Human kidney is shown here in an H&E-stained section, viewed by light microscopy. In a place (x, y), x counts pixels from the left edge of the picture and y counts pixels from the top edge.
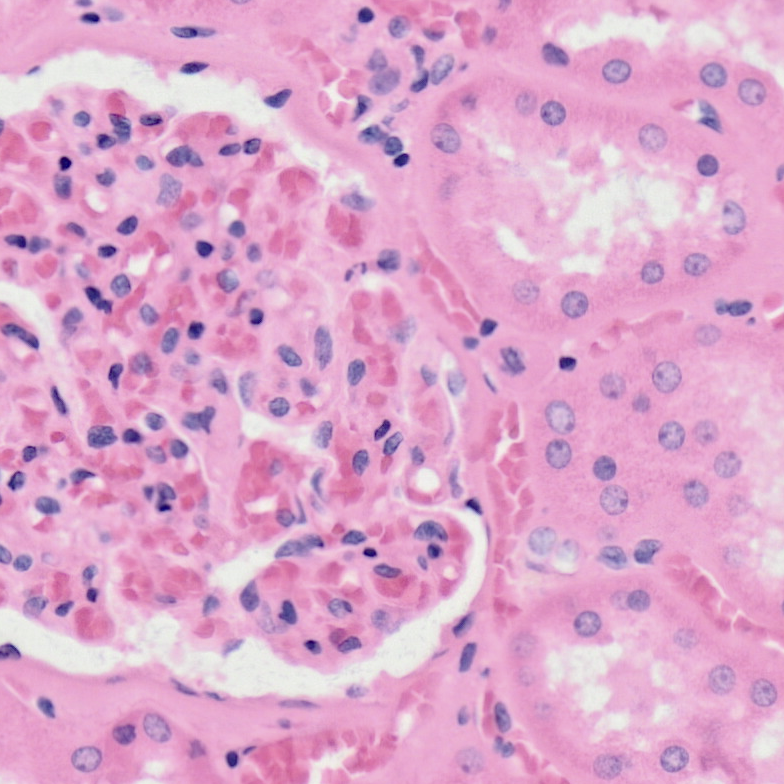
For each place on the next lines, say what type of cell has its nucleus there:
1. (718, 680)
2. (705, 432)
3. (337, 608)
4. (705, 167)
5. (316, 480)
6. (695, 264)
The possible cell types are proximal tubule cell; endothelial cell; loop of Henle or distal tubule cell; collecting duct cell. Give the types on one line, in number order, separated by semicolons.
proximal tubule cell; proximal tubule cell; endothelial cell; proximal tubule cell; endothelial cell; proximal tubule cell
